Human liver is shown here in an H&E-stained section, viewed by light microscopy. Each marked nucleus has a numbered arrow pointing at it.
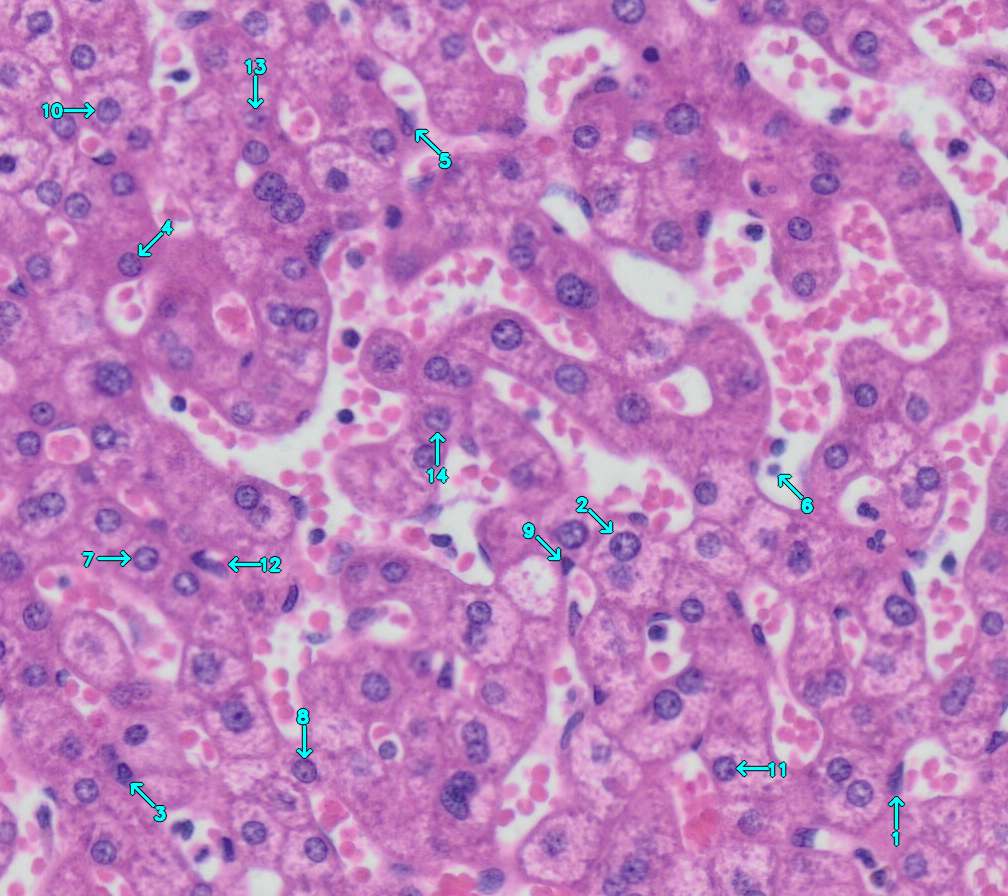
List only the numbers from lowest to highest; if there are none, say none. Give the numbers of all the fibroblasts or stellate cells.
3, 9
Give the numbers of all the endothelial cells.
1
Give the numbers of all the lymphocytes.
6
